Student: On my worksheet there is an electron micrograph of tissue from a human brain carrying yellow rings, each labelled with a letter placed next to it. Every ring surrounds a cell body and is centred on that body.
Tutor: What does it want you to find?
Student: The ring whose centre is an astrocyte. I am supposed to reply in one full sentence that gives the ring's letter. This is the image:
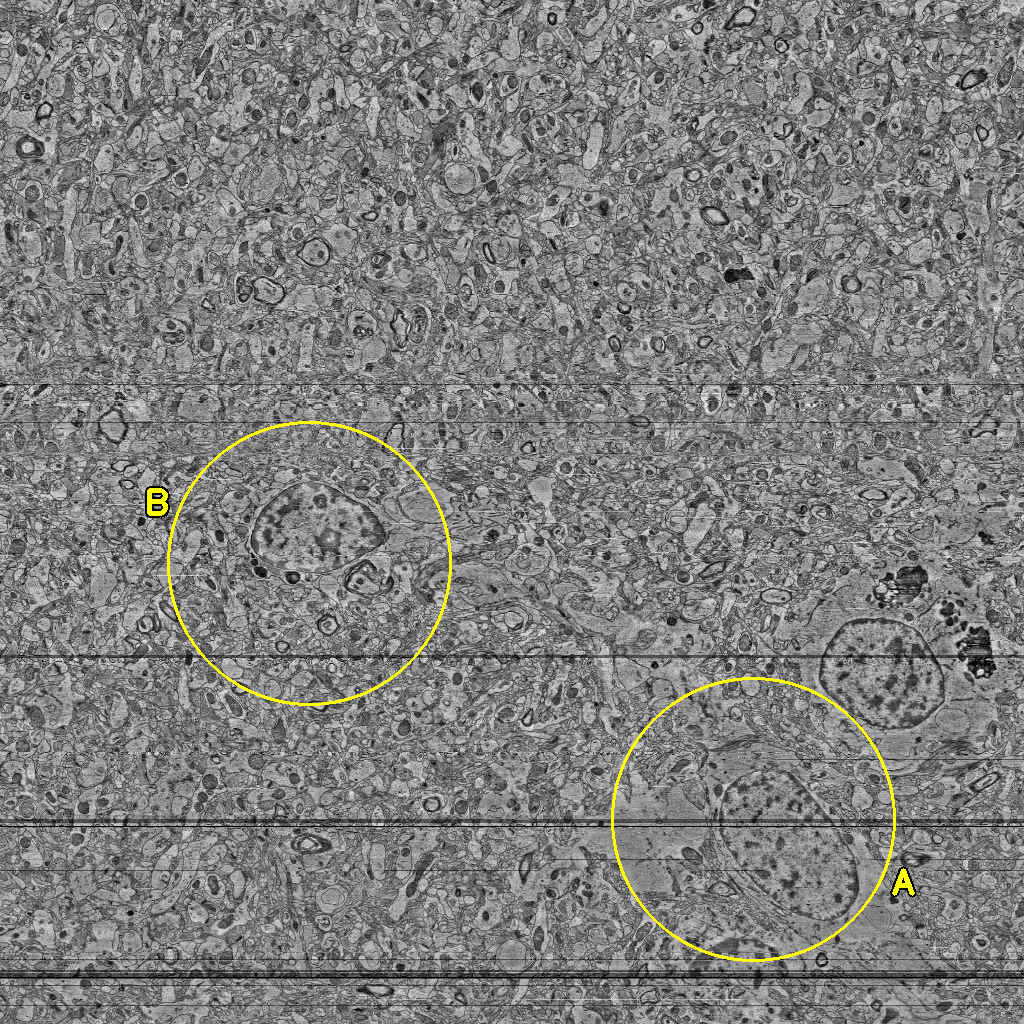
The cell asked for, shown in the picture, lies at the centre of ring A.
